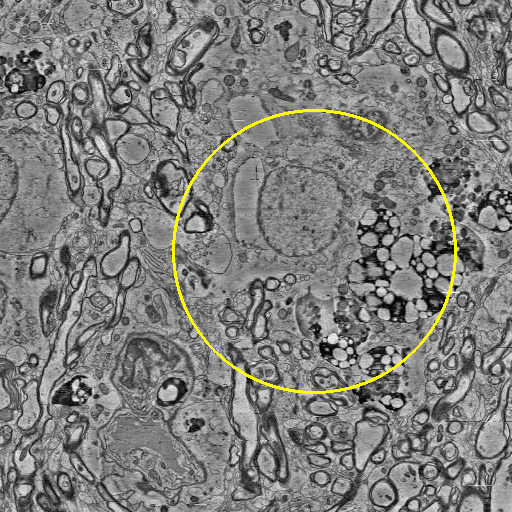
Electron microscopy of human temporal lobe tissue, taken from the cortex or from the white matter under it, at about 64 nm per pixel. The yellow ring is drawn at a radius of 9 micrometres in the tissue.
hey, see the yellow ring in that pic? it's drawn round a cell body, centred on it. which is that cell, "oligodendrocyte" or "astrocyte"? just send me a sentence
The cell in the ring is an astrocyte.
